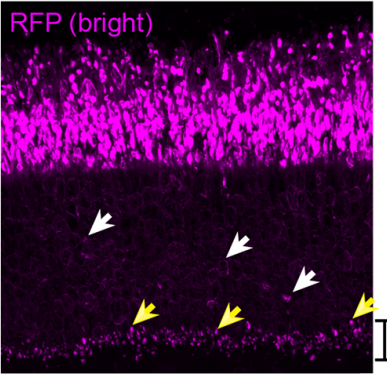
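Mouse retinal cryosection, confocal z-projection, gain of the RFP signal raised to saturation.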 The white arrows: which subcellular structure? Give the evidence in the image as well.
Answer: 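Cytoplasm surrounding the photoreceptor nuclei. The white arrows point to faint thin rings in the dim middle layer. The rings outline small round dark spaces packed side by side.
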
